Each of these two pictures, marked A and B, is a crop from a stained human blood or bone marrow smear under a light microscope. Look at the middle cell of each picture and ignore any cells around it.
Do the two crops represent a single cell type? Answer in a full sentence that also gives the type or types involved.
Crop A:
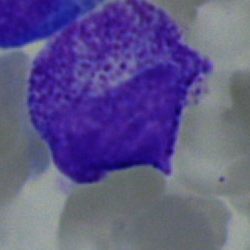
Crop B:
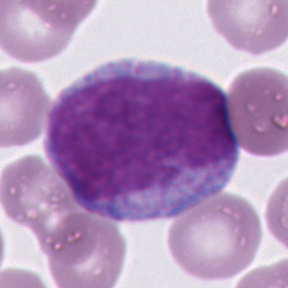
Yes, it is promyelocytes that both crops show.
